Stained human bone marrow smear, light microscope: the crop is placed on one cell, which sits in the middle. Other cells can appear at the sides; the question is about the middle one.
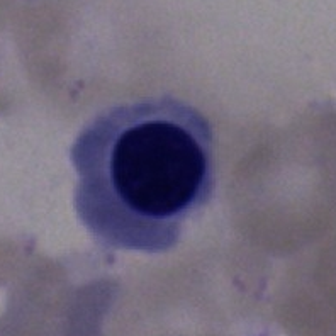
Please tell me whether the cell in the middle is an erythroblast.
yes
